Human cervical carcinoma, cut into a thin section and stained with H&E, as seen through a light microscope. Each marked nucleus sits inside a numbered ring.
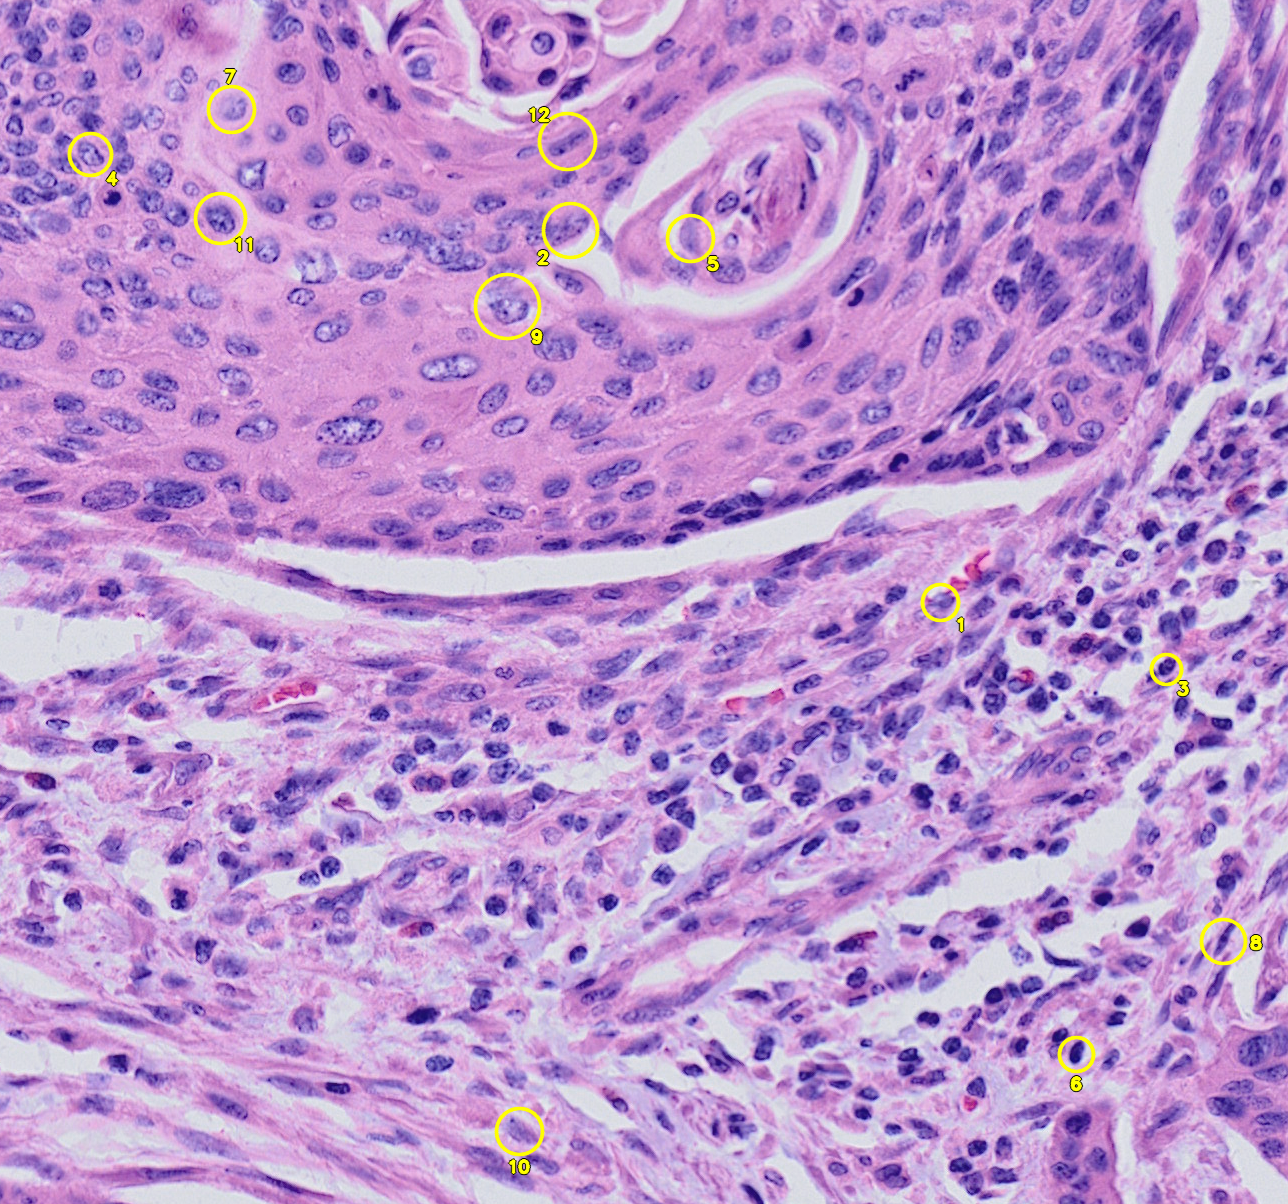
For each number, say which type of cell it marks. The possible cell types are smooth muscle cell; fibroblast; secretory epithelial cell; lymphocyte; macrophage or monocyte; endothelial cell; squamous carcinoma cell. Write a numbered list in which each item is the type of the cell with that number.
1. endothelial cell
2. squamous carcinoma cell
3. lymphocyte
4. squamous carcinoma cell
5. squamous carcinoma cell
6. lymphocyte
7. squamous carcinoma cell
8. fibroblast
9. squamous carcinoma cell
10. fibroblast
11. squamous carcinoma cell
12. squamous carcinoma cell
